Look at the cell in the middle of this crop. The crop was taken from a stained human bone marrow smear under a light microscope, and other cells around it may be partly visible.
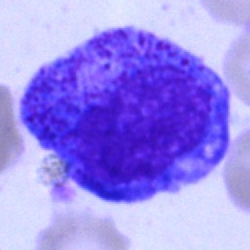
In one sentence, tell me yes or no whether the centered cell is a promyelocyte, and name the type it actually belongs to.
Yes, a promyelocyte occupies the middle of the crop.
